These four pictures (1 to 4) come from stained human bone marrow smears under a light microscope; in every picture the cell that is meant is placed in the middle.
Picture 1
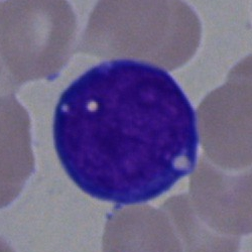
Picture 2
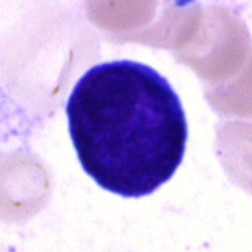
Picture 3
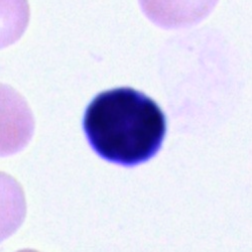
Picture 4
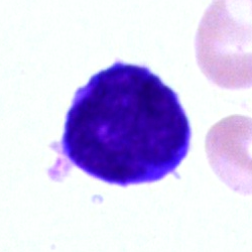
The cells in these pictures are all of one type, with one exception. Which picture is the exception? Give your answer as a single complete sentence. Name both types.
The others show blasts, but picture 3 shows a lymphocyte.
